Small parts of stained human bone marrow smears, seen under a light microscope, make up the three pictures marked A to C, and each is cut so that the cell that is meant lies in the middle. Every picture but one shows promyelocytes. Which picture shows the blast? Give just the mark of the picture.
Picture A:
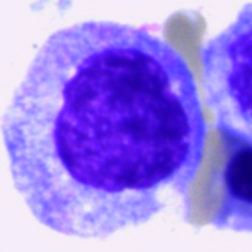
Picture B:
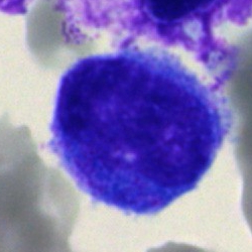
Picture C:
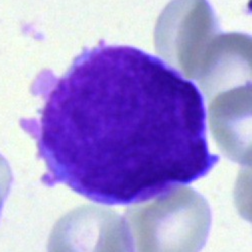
C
